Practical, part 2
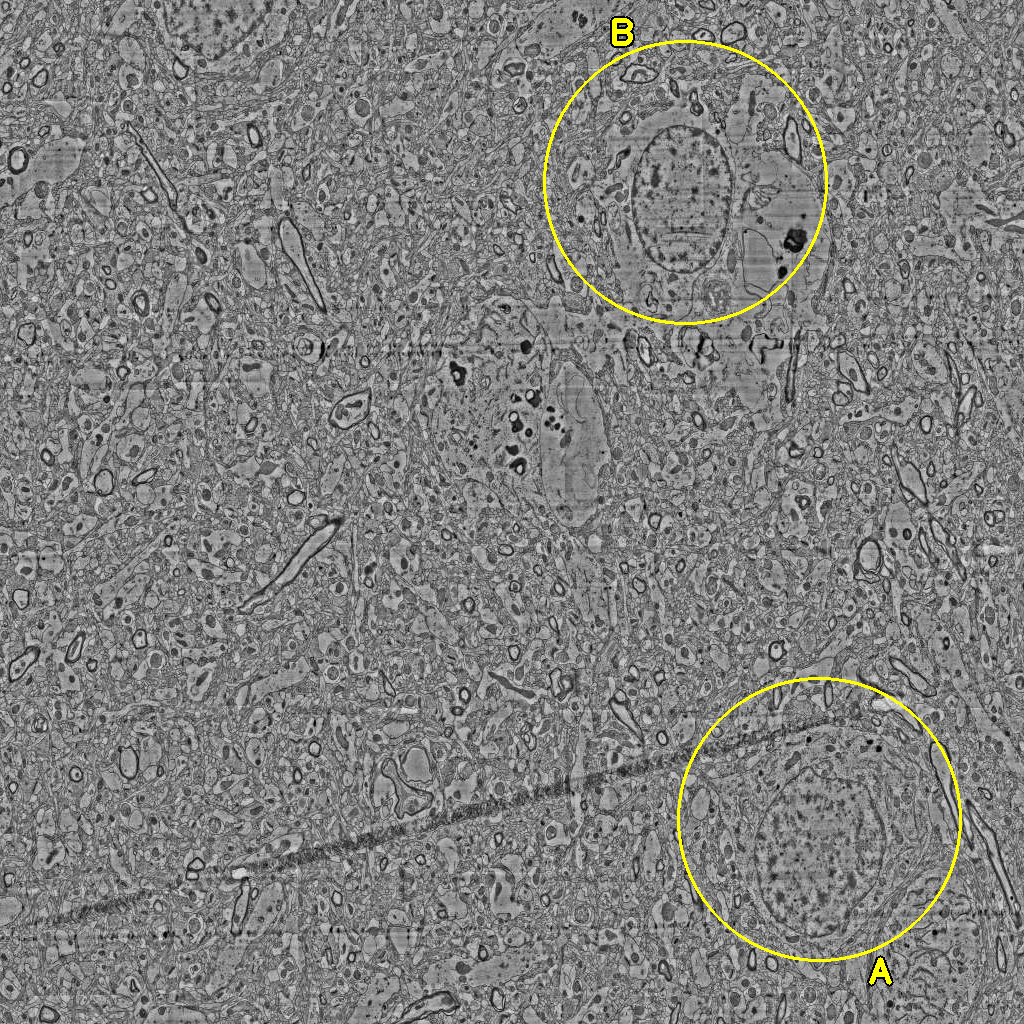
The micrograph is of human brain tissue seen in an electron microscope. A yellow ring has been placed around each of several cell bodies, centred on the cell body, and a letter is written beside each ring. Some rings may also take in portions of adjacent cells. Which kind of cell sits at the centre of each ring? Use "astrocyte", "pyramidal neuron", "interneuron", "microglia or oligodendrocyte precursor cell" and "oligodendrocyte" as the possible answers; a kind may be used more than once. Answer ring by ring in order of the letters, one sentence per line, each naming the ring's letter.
Ring A sits on an interneuron.
Ring B sits on an astrocyte.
